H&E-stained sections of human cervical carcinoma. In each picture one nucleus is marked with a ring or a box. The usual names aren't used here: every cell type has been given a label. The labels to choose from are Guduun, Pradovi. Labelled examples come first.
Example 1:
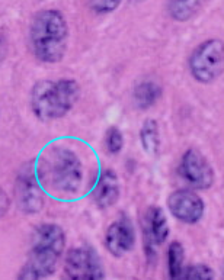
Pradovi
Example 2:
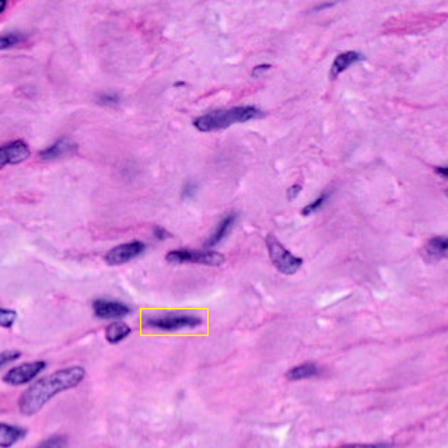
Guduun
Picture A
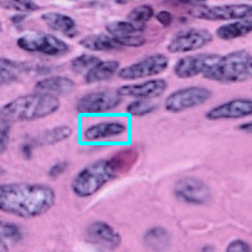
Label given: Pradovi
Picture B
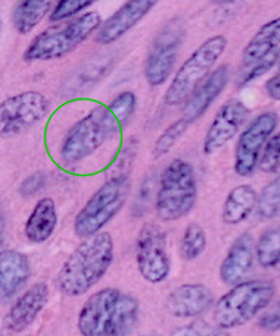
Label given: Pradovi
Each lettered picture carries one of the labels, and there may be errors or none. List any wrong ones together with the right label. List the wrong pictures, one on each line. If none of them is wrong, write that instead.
All labels are correct.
